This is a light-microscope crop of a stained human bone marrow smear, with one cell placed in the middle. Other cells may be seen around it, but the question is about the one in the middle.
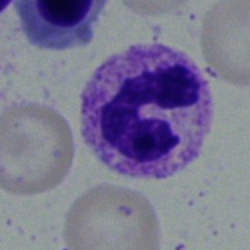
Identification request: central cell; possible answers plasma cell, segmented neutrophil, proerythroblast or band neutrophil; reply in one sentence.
Here the centrally located cell is a segmented neutrophil.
